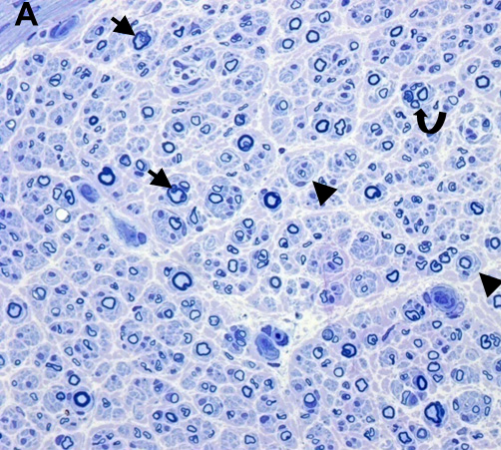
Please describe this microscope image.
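A cross-section of peripheral nerve shows many myelinated fibers seen as dark blue rings of myelin around pale axons, lying in pale bluish endoneurium. Most fibers are small with thin rings; large fibers are few. Some fibers are surrounded by a pale concentric collar of layered cells, forming onion bulbs. Several fibers show irregular, distorted myelin rings. In places, small thin-ringed fibers lie grouped closely together in clusters. Thin pale septa divide the field, and scattered elongated nuclei of supporting cells are seen between the fibers.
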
